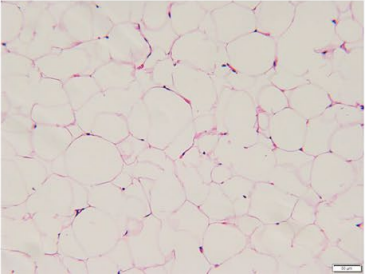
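Adipose tissue made of large adipocytes packed edge to edge. The cells are broad, rounded to polygonal clear spaces with empty, unstained interiors, each outlined by a thin pink membrane rim. Sizes vary, with many notably large cells among smaller ones. Nuclei are sparse: a few flattened dark purple nuclei are pressed against the cell borders, mostly at junctions where several cells meet. The connective tissue between cells is reduced to thin pink lines, and only small amounts of stroma are visible, with little sign of vessels in this field.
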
